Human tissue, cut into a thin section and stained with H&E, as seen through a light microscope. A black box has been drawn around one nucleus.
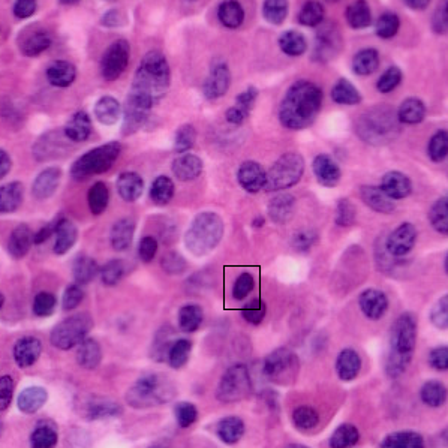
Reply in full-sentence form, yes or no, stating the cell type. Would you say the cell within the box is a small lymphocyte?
No, in this tissue section, the cell within the box is not a small lymphocyte but a plasma cell.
